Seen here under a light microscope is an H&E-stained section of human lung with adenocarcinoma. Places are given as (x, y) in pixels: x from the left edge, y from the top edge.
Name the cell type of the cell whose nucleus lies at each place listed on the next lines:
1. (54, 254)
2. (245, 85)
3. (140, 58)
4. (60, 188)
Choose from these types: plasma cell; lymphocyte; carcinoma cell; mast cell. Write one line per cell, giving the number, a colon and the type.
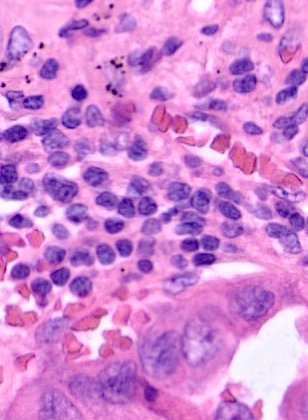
1: lymphocyte
2: lymphocyte
3: plasma cell
4: lymphocyte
